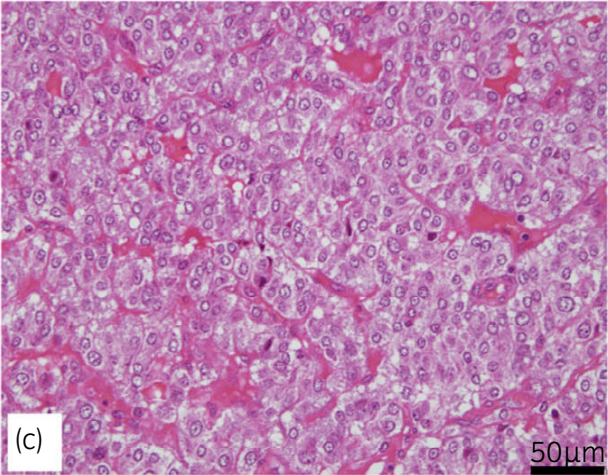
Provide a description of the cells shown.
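Large polygonal tumor cells with abundant pale pink, granular to finely vacuolated cytoplasm and round nuclei with distinct nucleoli. The cells lie in nests and sheets separated by thin strands of deeper pink material.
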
